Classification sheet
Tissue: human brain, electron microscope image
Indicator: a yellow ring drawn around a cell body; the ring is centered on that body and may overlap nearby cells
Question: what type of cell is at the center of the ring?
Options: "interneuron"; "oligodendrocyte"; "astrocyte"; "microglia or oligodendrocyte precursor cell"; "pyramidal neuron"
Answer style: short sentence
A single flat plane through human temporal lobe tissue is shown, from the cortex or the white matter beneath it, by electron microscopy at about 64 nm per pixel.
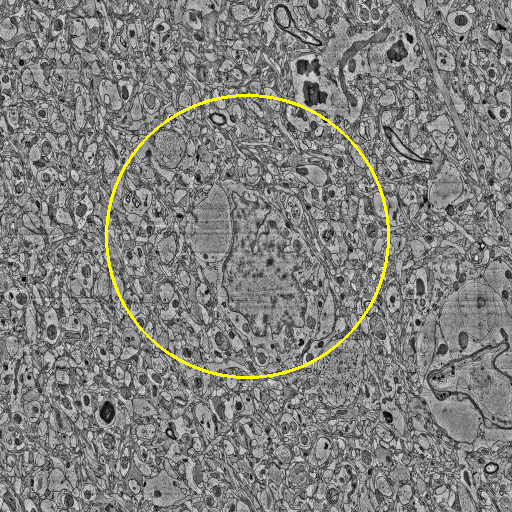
At the ring's center is an interneuron.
